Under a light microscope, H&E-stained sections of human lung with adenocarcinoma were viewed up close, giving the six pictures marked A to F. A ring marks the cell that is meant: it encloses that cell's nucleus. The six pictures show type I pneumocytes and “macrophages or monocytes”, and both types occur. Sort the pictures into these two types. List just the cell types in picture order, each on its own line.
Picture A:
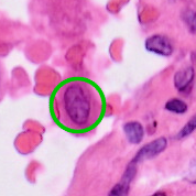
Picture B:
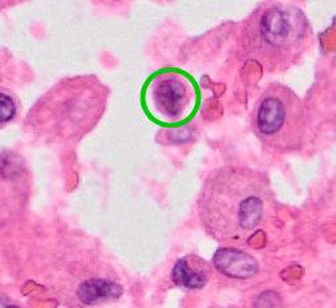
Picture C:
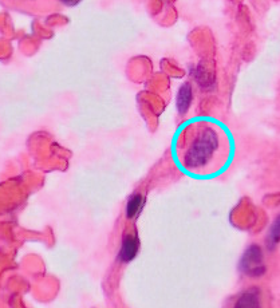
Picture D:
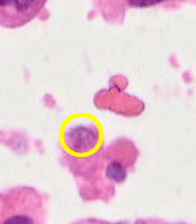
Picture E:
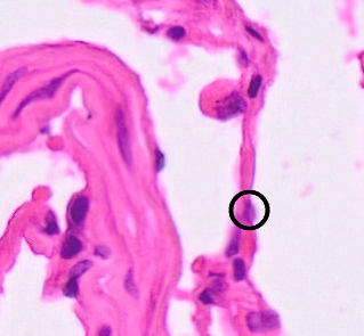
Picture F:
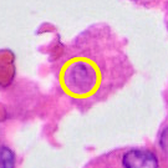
macrophage or monocyte
macrophage or monocyte
type I pneumocyte
macrophage or monocyte
type I pneumocyte
macrophage or monocyte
